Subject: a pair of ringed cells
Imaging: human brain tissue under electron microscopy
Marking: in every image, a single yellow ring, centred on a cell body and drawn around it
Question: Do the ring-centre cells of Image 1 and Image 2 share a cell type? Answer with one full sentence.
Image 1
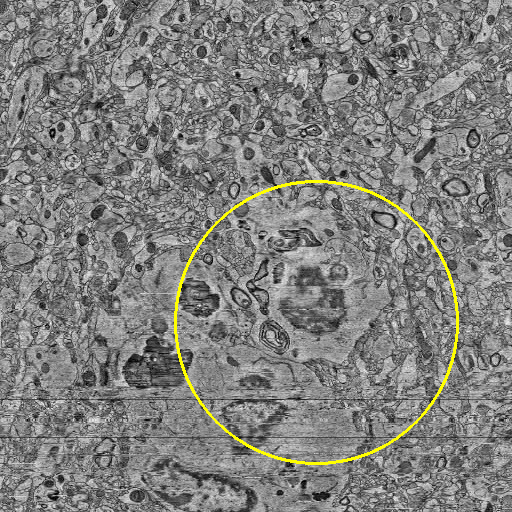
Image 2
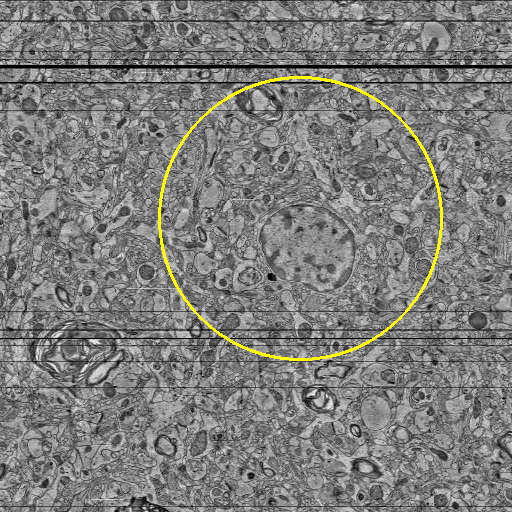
No, at the ring centres in the images sit cells of two separate types.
